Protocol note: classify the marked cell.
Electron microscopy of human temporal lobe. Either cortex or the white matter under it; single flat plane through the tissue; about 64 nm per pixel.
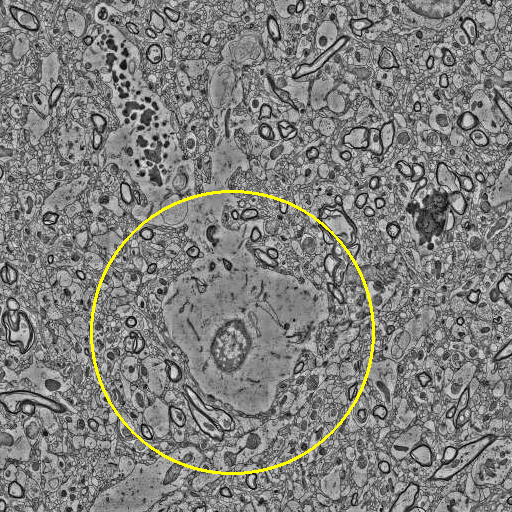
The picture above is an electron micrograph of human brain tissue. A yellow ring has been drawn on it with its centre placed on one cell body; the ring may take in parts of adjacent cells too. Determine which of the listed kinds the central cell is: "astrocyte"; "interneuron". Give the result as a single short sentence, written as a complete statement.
The central cell is an astrocyte.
